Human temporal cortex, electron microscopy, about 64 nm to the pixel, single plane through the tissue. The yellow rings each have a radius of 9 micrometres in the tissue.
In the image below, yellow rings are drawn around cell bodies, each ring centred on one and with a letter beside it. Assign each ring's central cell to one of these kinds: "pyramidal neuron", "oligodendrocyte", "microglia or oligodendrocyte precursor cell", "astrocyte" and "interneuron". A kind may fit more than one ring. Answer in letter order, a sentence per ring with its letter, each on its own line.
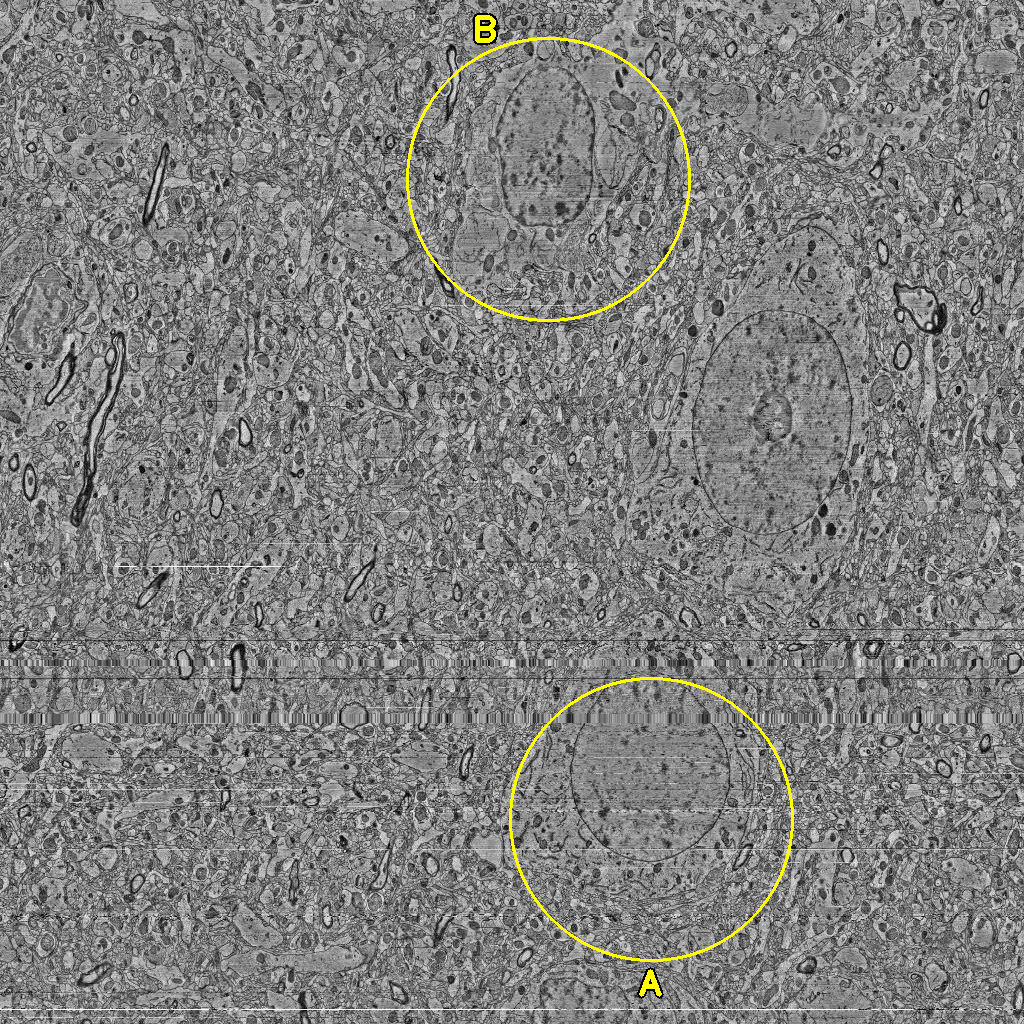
The central cell of ring A is a pyramidal neuron.
The central cell of ring B is an astrocyte.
